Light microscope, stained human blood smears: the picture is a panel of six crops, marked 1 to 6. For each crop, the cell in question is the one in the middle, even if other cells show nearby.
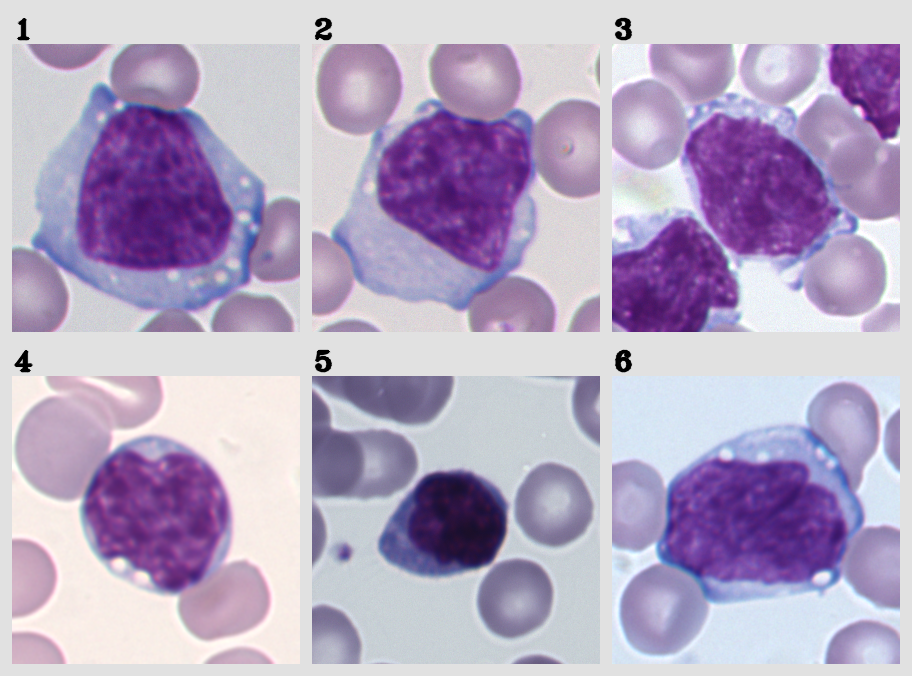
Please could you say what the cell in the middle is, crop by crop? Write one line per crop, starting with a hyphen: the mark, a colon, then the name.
- 1: myeloblast
- 2: myeloblast
- 3: typical lymphocyte
- 4: myeloblast
- 5: typical lymphocyte
- 6: myeloblast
